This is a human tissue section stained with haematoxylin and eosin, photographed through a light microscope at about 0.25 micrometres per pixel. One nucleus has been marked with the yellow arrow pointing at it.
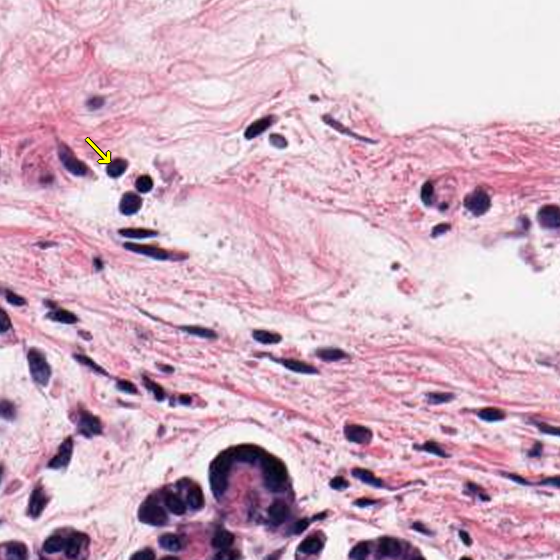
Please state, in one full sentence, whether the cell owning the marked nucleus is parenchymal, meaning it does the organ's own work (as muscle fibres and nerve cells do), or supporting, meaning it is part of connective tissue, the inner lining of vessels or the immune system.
It is a supporting cell that holds the marked nucleus.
